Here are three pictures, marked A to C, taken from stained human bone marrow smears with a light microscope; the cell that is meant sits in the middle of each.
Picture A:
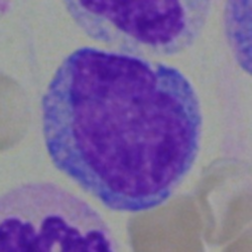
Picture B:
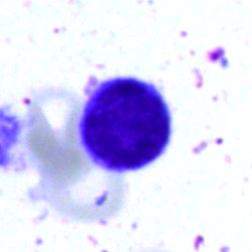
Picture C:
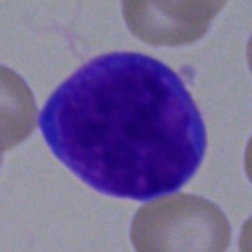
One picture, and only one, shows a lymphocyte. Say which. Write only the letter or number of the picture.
B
